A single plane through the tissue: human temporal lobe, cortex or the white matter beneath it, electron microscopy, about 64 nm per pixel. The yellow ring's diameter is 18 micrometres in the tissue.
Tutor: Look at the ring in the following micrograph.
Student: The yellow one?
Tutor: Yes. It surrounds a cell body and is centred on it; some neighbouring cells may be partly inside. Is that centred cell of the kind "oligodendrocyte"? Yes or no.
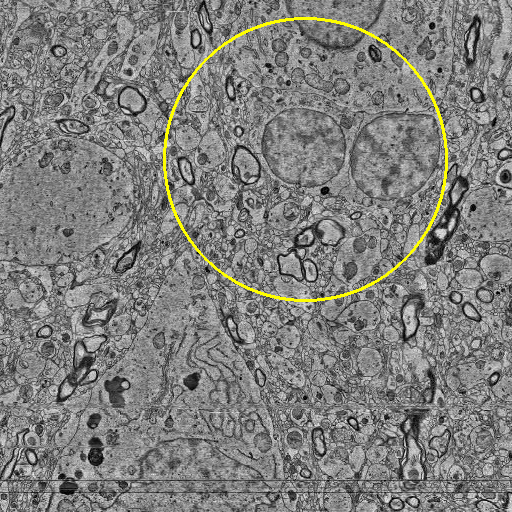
yes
